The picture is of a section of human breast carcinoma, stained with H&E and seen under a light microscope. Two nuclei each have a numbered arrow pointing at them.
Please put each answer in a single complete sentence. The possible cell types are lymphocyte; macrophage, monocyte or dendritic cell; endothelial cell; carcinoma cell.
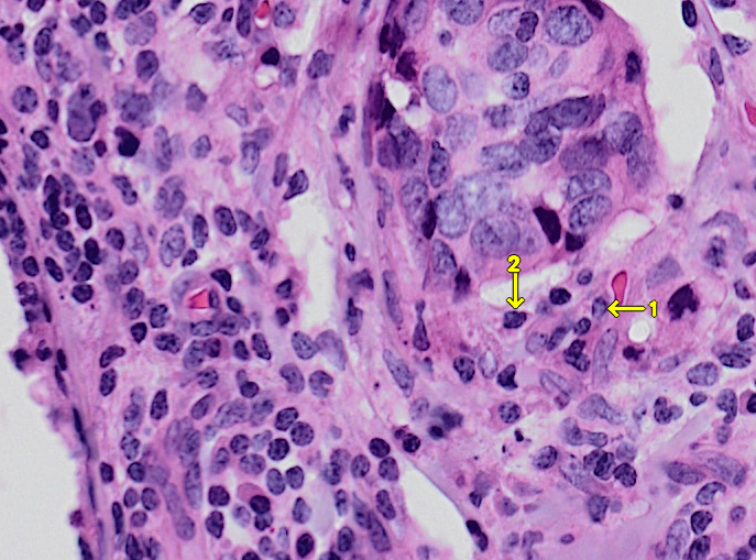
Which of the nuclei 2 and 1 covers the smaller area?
With nucleus 2 about 1.5 times its size, nucleus 1 is the smaller of the two.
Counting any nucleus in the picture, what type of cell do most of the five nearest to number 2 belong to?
Endothelial cells account for more than half of the five nuclei nearest to number 2.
